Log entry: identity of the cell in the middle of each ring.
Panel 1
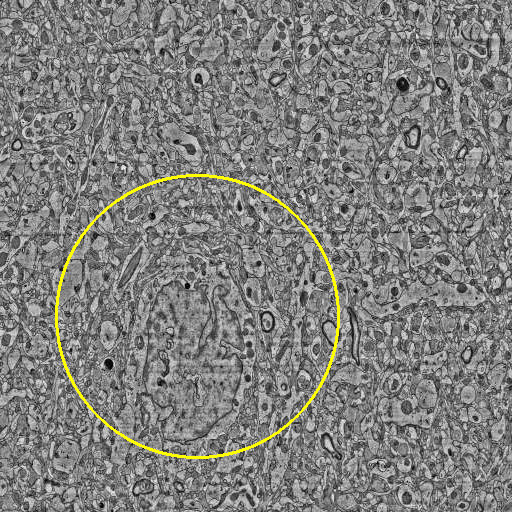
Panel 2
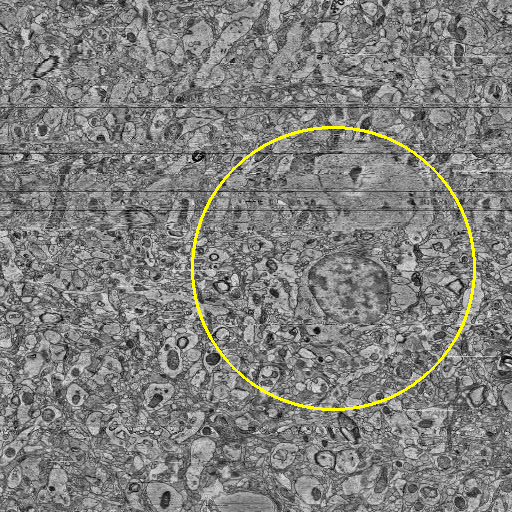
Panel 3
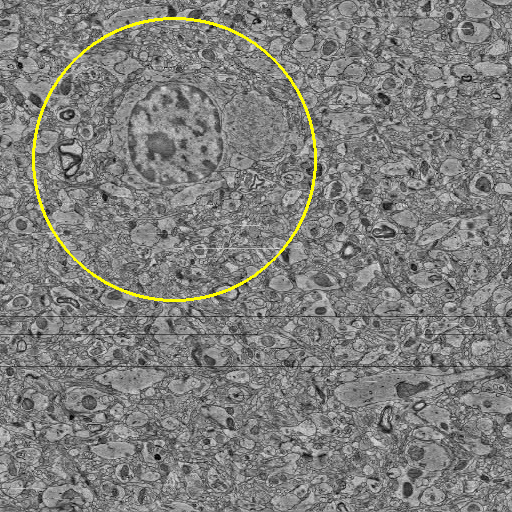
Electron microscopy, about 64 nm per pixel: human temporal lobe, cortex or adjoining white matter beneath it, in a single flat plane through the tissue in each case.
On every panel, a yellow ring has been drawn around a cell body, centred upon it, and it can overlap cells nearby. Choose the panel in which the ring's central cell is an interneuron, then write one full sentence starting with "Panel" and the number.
Panel 1 shows the requested cell sitting in the middle of its ring.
